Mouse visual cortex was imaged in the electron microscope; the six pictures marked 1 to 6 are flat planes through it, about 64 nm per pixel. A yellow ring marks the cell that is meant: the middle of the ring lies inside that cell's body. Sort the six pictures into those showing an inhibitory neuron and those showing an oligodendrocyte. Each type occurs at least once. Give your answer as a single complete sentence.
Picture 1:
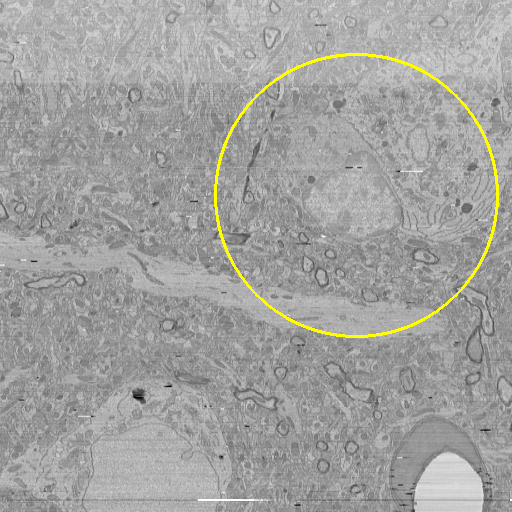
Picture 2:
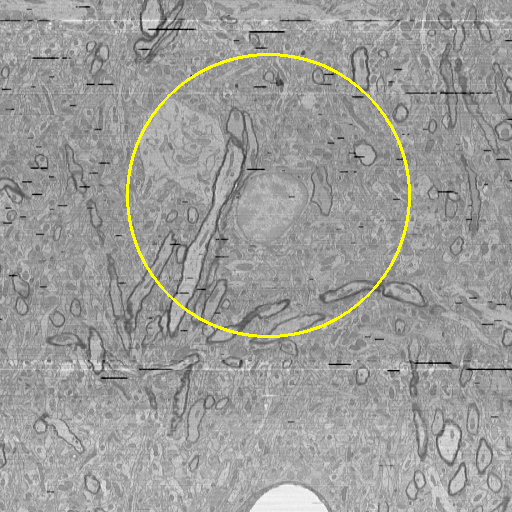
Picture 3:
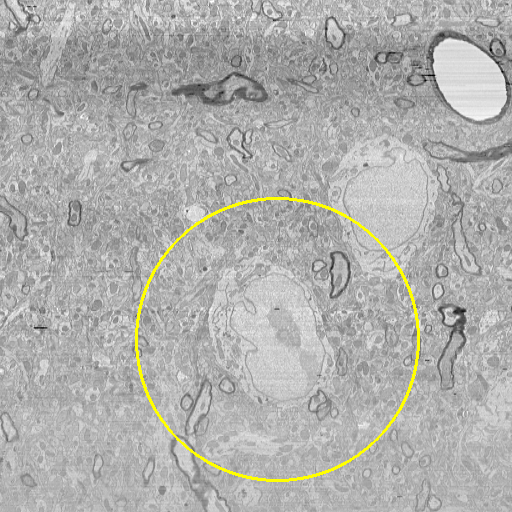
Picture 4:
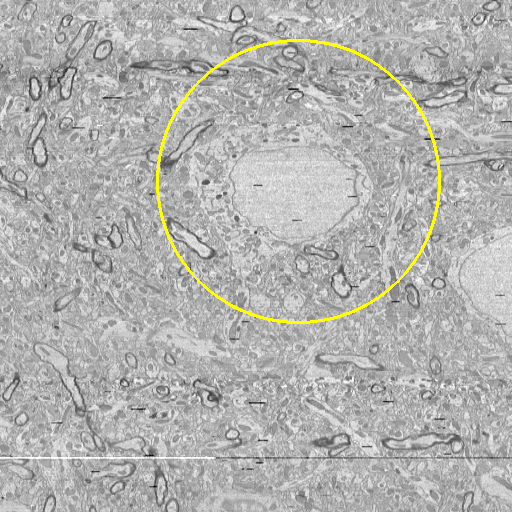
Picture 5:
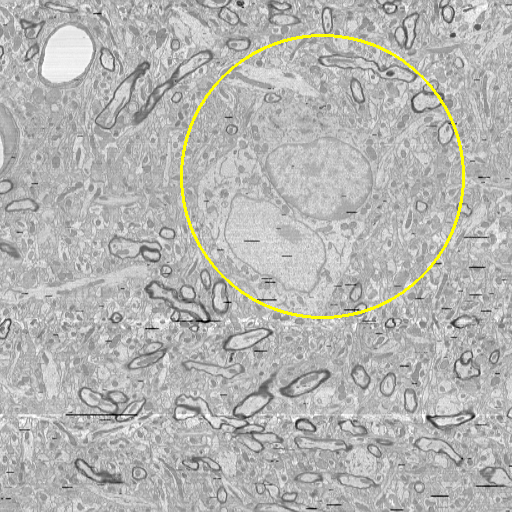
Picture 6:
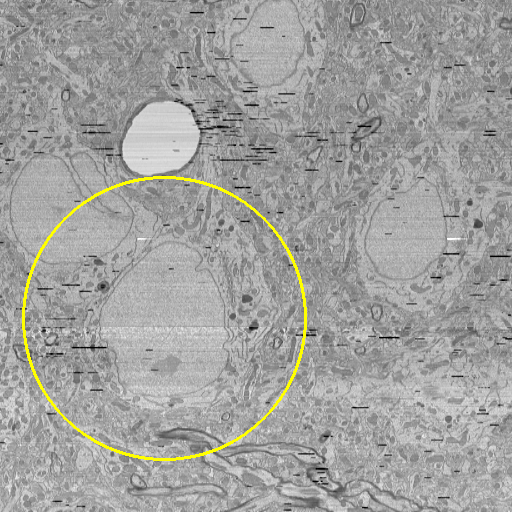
Pictures 3, 4 and 6 show inhibitory neurons, and pictures 1, 2 and 5 show oligodendrocytes.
